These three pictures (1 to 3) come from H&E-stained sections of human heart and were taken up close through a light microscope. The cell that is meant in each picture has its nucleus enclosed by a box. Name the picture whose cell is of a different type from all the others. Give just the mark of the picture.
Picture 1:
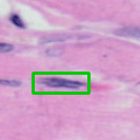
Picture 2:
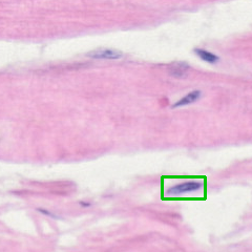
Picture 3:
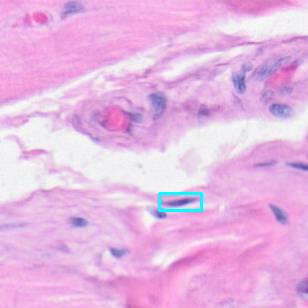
1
